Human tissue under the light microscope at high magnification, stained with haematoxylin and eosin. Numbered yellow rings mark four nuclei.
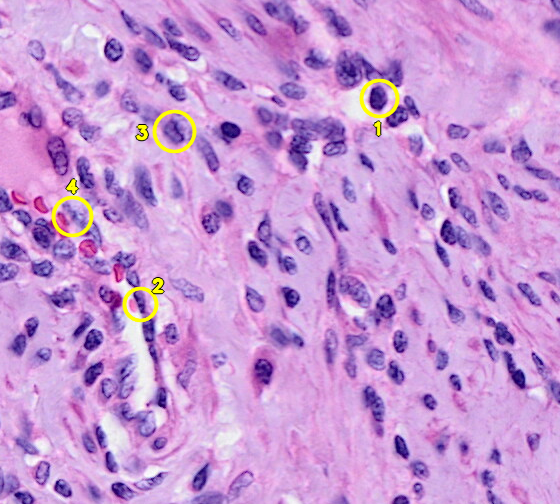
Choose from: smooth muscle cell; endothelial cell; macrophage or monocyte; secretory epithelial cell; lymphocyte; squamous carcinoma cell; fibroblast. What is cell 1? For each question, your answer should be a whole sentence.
The cell identified by number 1 is a lymphocyte.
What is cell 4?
The cell tagged with 4 in this tissue section is an endothelial cell.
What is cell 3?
The one labeled 3 is a lymphocyte, to put it simply.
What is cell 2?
Of the numbered cells, the one labelled 2 is an endothelial cell.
